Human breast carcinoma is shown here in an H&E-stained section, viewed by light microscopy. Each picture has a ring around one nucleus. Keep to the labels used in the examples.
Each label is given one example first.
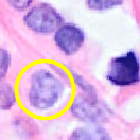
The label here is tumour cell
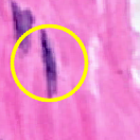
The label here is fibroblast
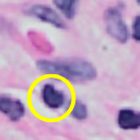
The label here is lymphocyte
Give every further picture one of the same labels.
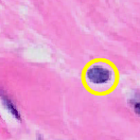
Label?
lymphocyte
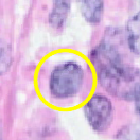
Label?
tumour cell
